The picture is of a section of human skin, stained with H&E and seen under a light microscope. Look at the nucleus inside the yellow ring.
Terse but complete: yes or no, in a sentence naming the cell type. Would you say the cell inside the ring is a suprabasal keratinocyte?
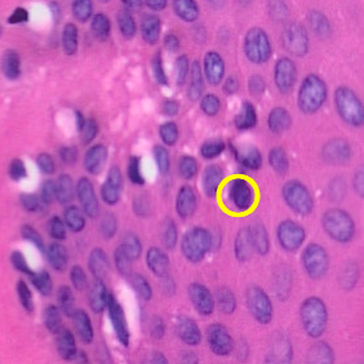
No, the cell inside the ring counts as a basal keratinocyte rather than as a suprabasal keratinocyte.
